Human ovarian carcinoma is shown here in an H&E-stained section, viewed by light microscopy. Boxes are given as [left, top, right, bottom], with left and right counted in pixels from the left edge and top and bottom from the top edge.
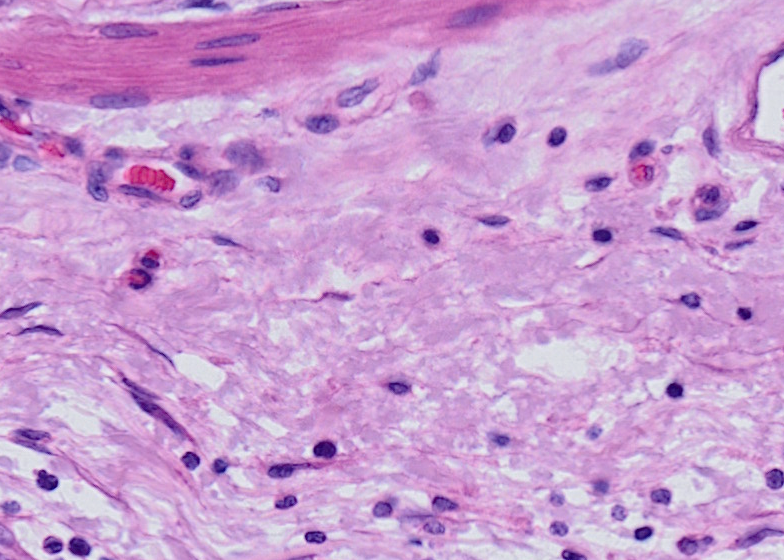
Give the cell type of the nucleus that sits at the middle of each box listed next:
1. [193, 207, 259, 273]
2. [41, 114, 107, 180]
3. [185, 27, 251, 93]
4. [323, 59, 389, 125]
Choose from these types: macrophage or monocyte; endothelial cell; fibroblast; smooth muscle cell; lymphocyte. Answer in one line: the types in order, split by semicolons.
fibroblast; endothelial cell; smooth muscle cell; endothelial cell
